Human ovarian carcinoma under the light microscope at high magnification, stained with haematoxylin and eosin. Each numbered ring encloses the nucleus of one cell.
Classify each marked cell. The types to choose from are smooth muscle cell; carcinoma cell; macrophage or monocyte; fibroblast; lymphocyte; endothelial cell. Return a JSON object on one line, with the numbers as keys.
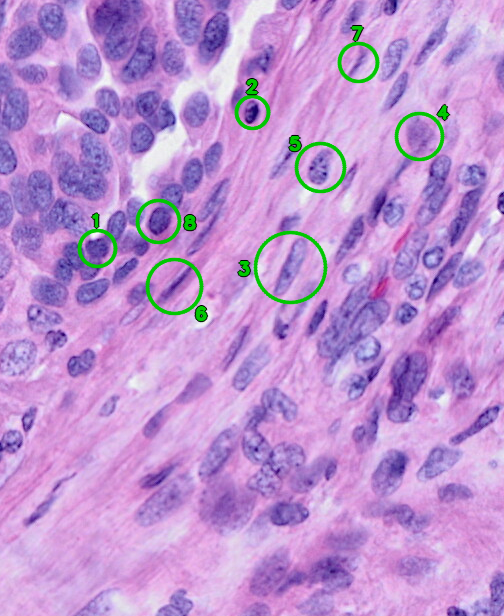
{"1": "carcinoma cell", "2": "lymphocyte", "3": "fibroblast", "4": "fibroblast", "5": "macrophage or monocyte", "6": "fibroblast", "7": "fibroblast", "8": "carcinoma cell"}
